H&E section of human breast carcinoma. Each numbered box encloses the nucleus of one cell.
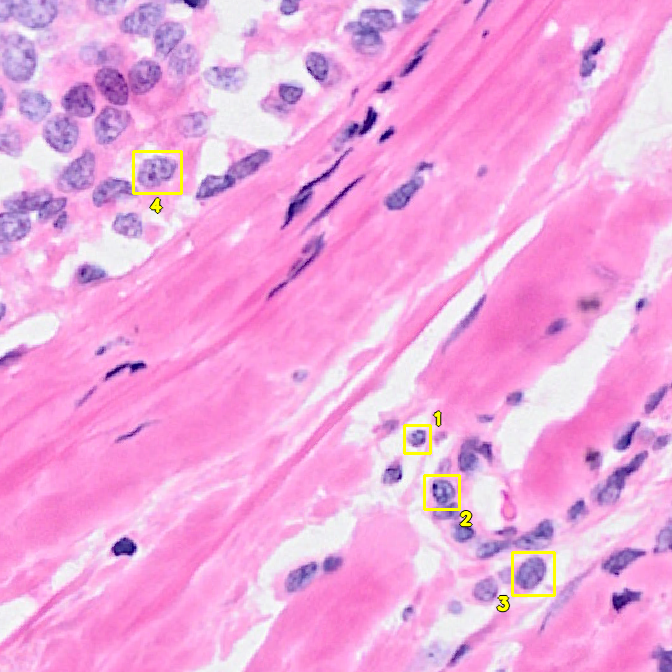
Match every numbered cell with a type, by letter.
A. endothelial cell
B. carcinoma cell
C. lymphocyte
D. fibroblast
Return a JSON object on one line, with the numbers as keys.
{"1": "C", "2": "A", "3": "B", "4": "B"}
